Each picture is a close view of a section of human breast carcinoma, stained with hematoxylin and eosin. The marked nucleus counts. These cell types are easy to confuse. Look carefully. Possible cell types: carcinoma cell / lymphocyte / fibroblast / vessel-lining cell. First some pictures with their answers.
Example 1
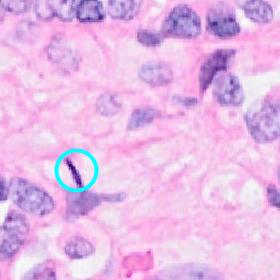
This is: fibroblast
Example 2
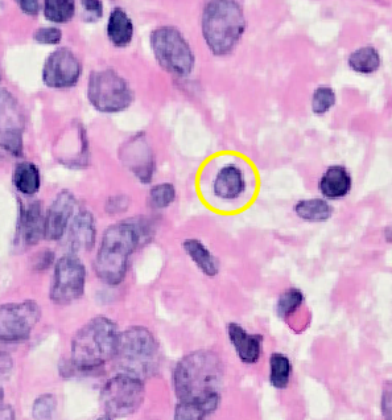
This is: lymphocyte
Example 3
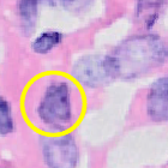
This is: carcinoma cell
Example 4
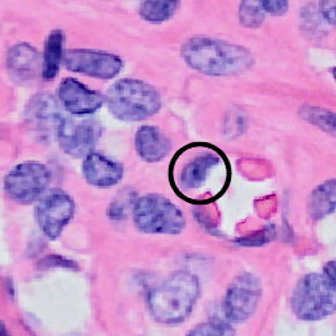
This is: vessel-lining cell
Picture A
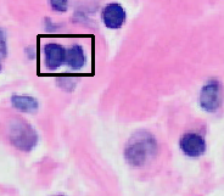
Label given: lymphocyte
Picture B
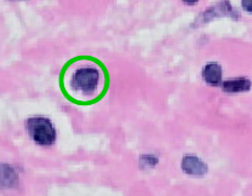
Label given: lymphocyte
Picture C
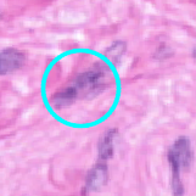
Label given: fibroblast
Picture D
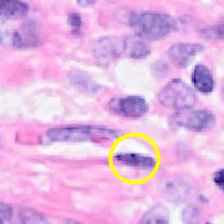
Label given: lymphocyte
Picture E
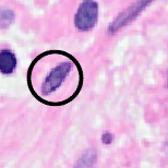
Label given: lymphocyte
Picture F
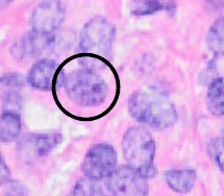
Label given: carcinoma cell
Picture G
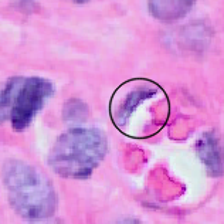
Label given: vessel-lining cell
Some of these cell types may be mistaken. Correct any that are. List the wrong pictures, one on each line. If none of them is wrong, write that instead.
D: vessel-lining cell, not lymphocyte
